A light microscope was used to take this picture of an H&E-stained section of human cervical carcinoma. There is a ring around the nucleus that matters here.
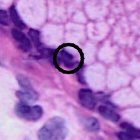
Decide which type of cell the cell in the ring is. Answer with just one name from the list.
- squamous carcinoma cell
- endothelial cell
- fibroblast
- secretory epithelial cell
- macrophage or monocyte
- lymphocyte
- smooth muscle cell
secretory epithelial cell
